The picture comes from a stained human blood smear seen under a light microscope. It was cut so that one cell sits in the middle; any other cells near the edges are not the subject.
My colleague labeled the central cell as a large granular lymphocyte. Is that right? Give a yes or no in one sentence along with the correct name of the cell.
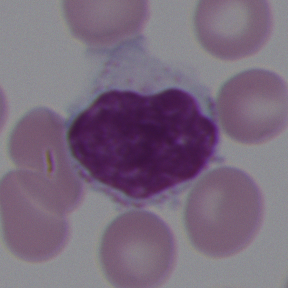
Yes, the middle cell here is a large granular lymphocyte.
